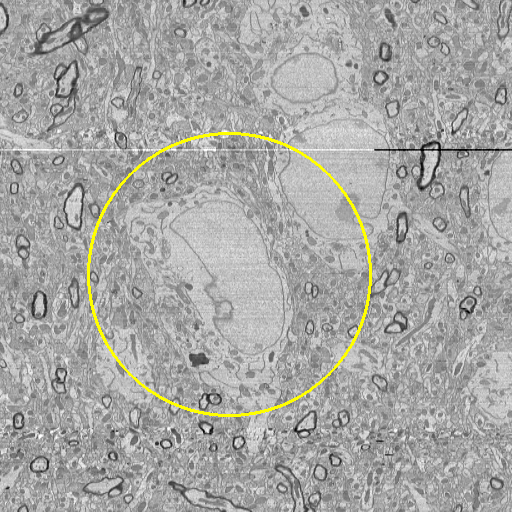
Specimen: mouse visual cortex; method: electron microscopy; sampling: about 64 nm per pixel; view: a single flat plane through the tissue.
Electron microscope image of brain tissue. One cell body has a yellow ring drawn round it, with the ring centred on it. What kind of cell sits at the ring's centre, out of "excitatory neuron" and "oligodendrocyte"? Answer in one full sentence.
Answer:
It is an excitatory neuron whose cell body sits at the centre of the yellow ring.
